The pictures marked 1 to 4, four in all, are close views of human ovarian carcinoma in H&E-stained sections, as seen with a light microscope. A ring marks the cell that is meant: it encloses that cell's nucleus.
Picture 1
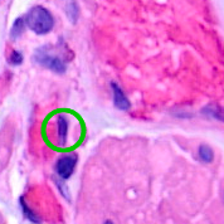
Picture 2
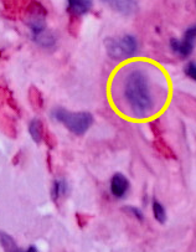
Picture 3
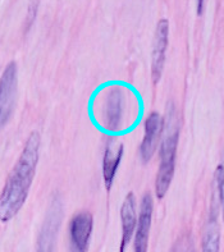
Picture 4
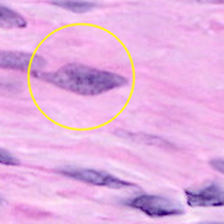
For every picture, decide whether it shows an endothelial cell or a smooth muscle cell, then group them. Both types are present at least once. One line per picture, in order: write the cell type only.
endothelial cell
endothelial cell
smooth muscle cell
smooth muscle cell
